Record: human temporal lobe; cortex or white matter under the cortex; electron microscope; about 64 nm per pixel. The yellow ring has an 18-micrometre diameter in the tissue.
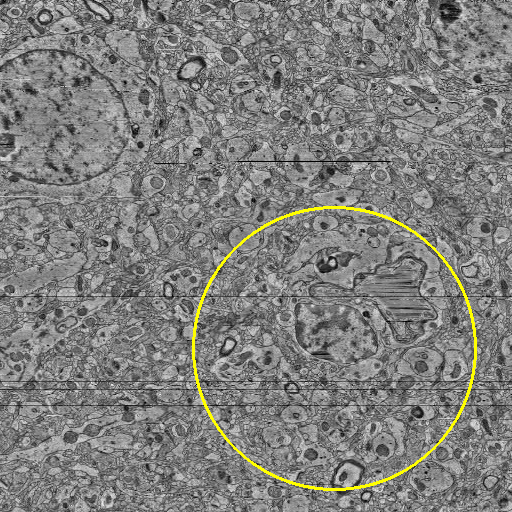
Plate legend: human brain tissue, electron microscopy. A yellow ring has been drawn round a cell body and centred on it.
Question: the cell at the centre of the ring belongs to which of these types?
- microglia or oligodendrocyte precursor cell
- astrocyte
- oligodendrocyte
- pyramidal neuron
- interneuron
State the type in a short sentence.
The cell in the middle of the ring is a microglial cell or oligodendrocyte precursor cell.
